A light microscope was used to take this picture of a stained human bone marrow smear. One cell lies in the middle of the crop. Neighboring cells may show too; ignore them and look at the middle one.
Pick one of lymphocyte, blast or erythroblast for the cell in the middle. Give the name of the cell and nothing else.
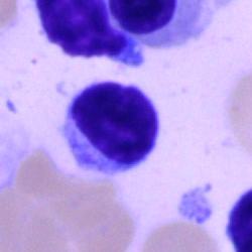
lymphocyte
